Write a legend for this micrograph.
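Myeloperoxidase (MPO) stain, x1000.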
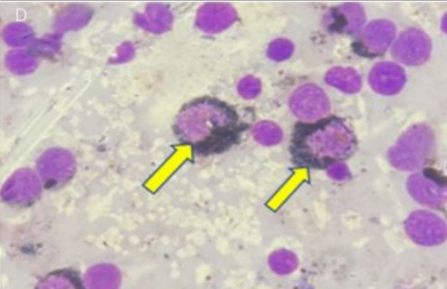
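Many surrounding cells are round, with purple nuclei and no black granules, and they vary in size. Smaller clumps of black deposit appear in a few other cells at the edges. The background is pale with scattered debris and a few streaks.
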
